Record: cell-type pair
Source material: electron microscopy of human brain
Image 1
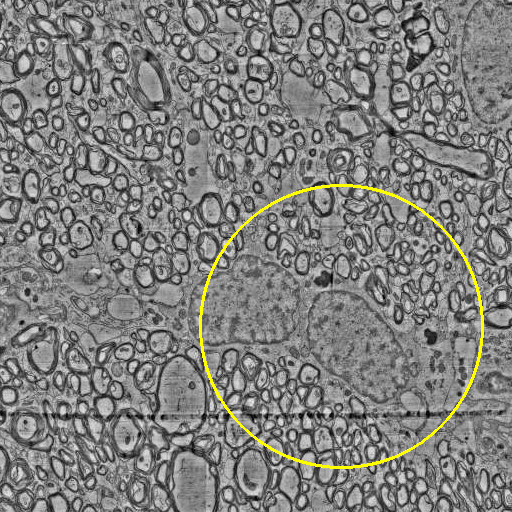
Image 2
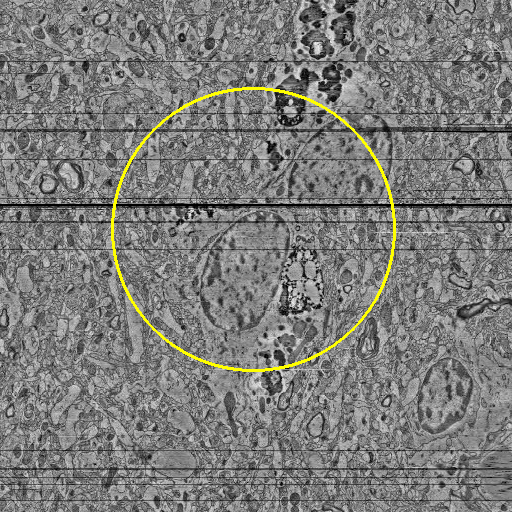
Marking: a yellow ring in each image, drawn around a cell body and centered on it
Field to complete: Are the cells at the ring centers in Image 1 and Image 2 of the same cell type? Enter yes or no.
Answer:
no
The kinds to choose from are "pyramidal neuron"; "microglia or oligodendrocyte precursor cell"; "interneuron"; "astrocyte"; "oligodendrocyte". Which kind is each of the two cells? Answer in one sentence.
Of the two, the first cell is an oligodendrocyte and the second cell is an astrocyte.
